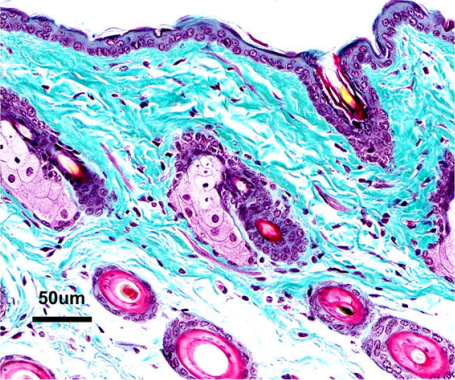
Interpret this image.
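This is skin at higher magnification, with the thin surface epidermis along the top and hair follicles cut at several angles within the dermis below. The epidermis is a few layers of cells with purple nuclei, and it dips down where a follicle opens towards the surface. Between the epidermis and the follicles lies a loose, wavy meshwork of blue-green collagen fibres with scattered small elongated nuclei. The follicles cut across appear as rings of purple-nucleated cells surrounding a bright pink-red hair shaft. Beside some follicles sit clusters of large pale pink cells with foamy cytoplasm and central nuclei, arranged in lobules.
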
